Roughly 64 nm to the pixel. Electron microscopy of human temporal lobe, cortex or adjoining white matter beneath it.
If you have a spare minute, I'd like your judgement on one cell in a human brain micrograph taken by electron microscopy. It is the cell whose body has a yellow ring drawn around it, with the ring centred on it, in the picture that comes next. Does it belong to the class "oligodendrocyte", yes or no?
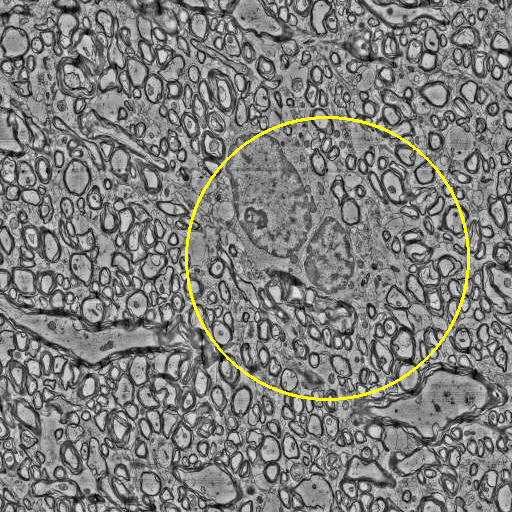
Yes, it belongs to that class.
